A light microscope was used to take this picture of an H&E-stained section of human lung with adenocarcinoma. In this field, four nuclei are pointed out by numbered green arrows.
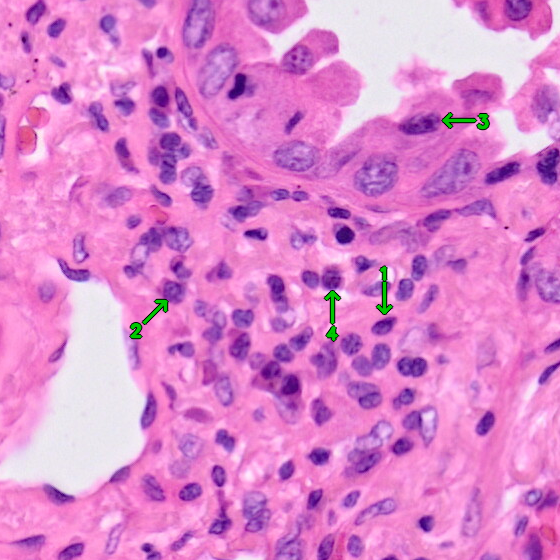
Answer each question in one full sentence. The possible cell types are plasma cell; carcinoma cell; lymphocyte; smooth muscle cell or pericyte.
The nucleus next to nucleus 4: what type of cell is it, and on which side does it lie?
The nearest one is a lymphocyte, found to the left of nucleus 4.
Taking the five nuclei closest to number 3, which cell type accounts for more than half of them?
Carcinoma cells account for more than half of the five nuclei nearest to number 3.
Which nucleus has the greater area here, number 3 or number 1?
At about 2.5 times the area of nucleus 1, nucleus 3 is the larger of the two.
